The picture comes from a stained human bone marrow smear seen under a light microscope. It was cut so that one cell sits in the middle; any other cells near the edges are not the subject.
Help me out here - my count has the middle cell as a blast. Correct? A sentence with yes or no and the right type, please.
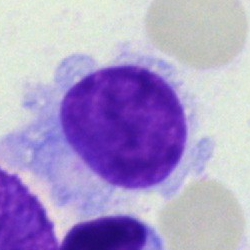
No, the cell occupying the centre is a hairy cell, not a blast.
